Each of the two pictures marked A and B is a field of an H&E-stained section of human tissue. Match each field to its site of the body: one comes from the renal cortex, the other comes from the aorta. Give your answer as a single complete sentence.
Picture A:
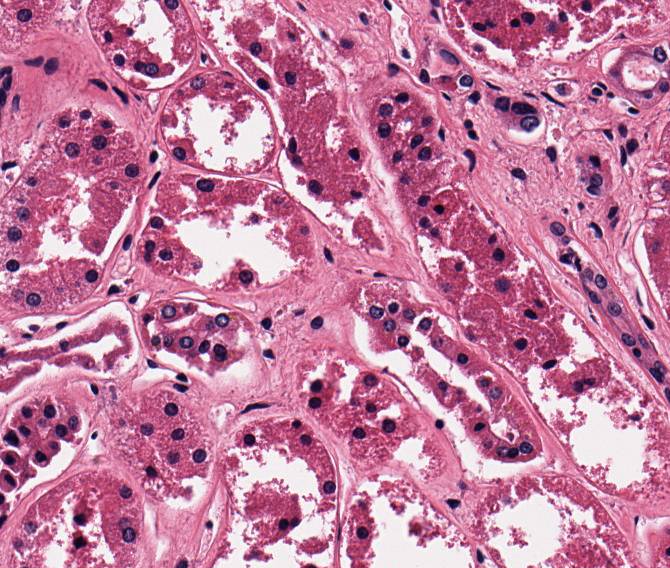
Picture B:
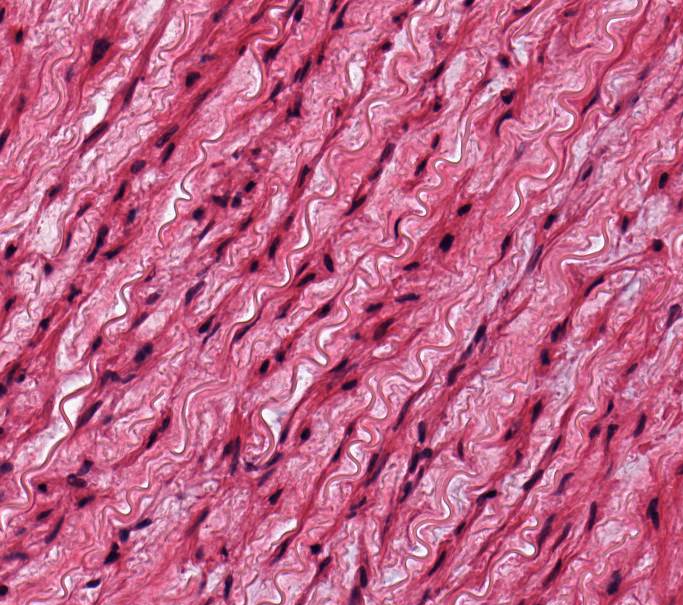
Picture A comes from the renal cortex and picture B comes from the aorta.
